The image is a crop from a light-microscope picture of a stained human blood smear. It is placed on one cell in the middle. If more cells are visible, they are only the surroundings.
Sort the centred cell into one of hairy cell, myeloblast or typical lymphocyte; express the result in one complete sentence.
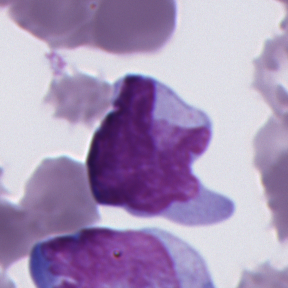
The cell found in the middle of this crop is a myeloblast.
